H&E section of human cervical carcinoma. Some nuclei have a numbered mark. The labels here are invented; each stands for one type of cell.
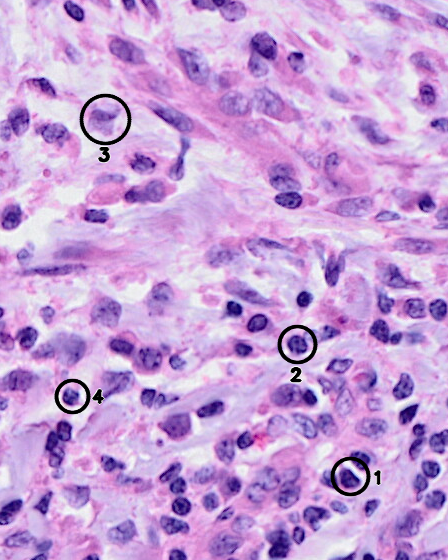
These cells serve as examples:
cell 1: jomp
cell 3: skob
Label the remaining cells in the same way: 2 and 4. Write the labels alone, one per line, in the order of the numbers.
jomp
jomp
